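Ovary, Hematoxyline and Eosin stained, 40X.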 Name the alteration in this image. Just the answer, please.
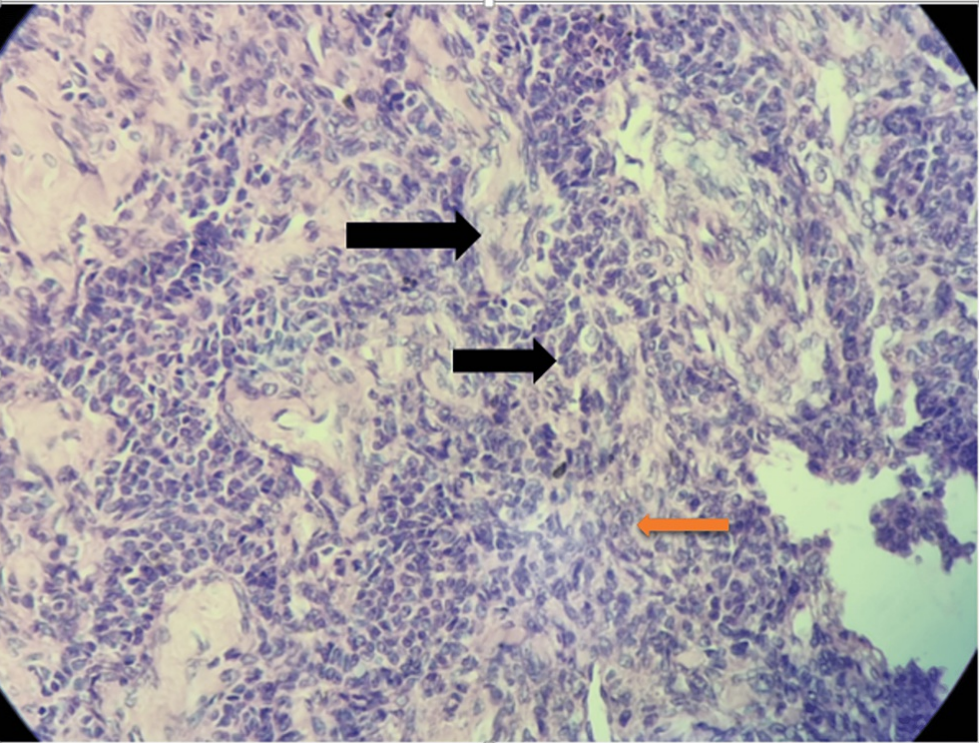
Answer: Granulosa cell tumor.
